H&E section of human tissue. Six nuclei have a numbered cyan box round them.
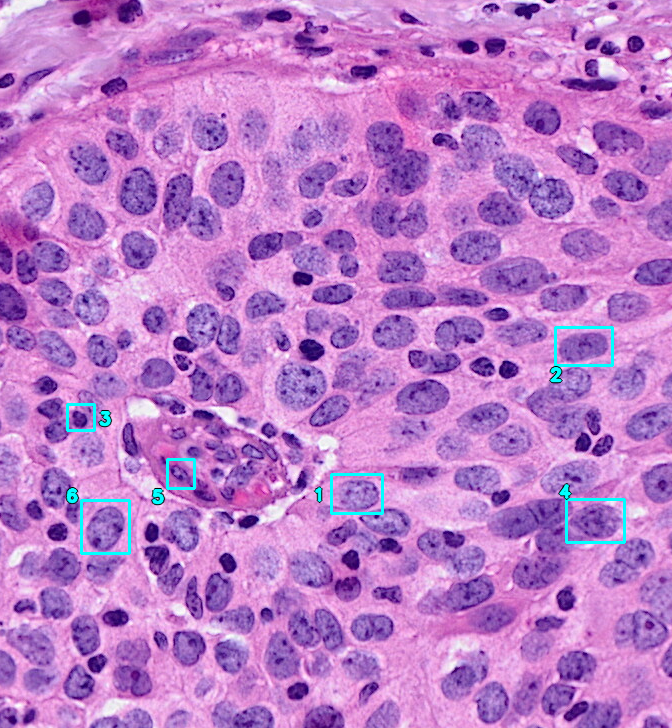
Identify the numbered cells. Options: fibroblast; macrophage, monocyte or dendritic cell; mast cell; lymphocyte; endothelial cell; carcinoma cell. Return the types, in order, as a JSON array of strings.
["carcinoma cell", "carcinoma cell", "lymphocyte", "carcinoma cell", "endothelial cell", "carcinoma cell"]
